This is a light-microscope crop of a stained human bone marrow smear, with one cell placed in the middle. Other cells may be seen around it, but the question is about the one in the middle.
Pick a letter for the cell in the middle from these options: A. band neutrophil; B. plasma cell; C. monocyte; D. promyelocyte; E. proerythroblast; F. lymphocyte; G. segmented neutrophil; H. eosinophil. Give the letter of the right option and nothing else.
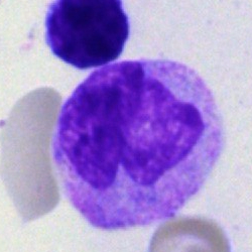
C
